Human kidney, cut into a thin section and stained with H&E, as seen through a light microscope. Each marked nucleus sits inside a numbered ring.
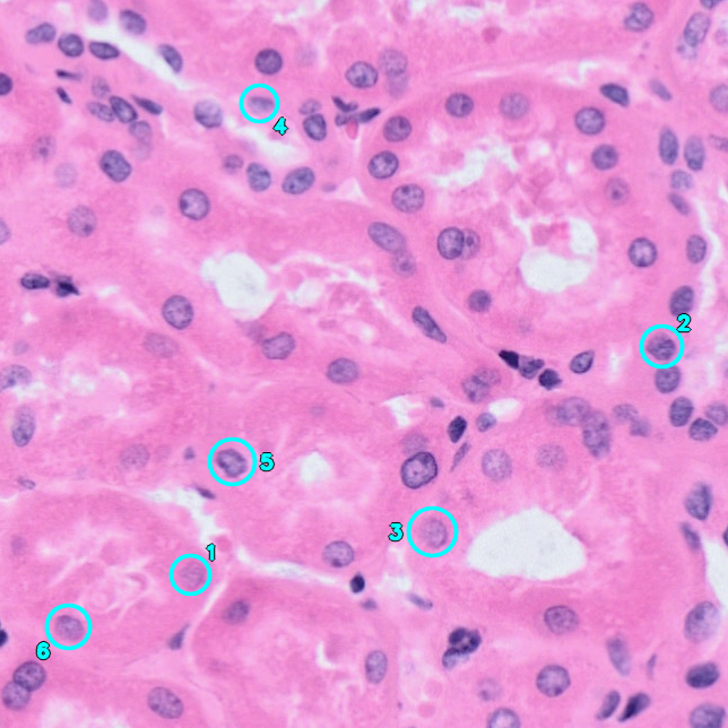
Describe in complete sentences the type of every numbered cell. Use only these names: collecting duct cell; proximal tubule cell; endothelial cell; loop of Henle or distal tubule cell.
Cells 1, 3, 5 and 6 are proximal tubule cells. Cells 2 and 4 are collecting duct cells.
